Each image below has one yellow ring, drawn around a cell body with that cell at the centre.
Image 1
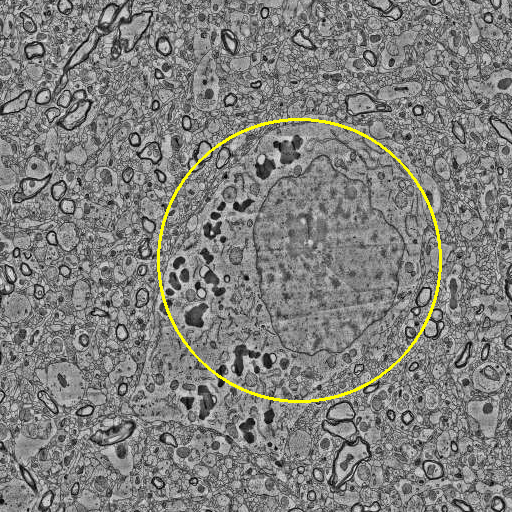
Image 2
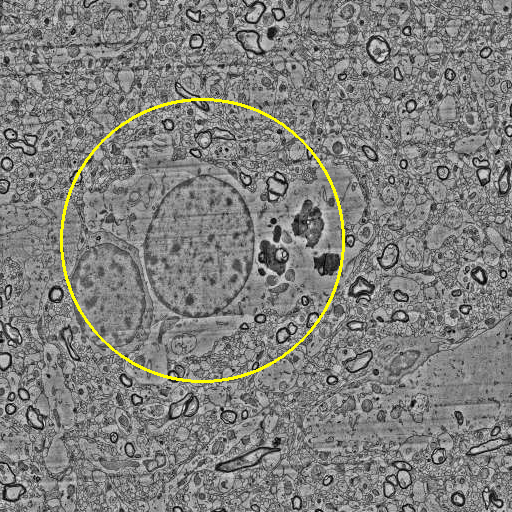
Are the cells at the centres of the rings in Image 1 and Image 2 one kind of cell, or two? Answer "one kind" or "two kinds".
two kinds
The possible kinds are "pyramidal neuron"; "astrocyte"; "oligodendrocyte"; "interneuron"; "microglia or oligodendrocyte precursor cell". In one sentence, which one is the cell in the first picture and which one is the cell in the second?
The cell ringed in the second picture is an astrocyte, whereas the one ringed in the first is an interneuron.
